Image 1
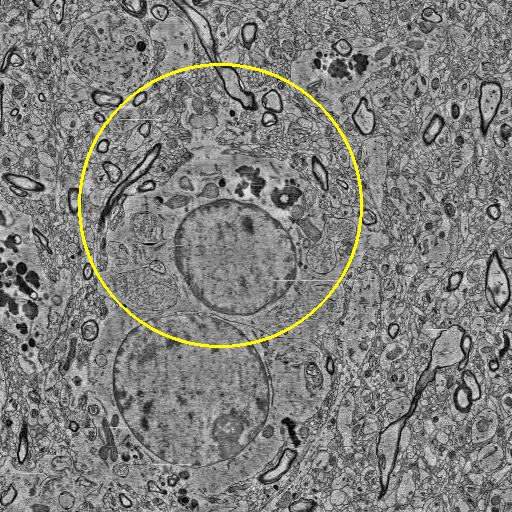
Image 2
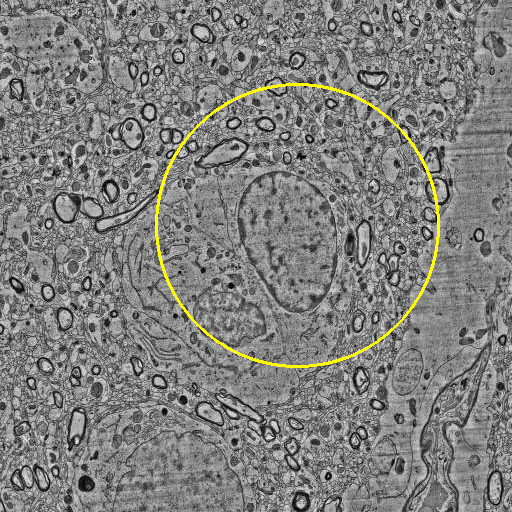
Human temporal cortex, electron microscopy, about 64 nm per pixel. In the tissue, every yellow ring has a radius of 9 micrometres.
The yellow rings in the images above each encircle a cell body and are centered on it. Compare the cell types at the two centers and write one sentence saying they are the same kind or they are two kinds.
Taken together, the two cells at the ring centers are two kinds.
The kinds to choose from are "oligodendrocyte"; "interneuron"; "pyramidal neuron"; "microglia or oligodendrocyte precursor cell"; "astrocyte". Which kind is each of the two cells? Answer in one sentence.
Of the two, the first cell is an astrocyte and the second cell is a microglial cell or oligodendrocyte precursor cell.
